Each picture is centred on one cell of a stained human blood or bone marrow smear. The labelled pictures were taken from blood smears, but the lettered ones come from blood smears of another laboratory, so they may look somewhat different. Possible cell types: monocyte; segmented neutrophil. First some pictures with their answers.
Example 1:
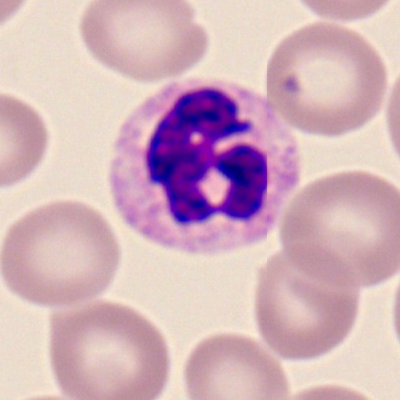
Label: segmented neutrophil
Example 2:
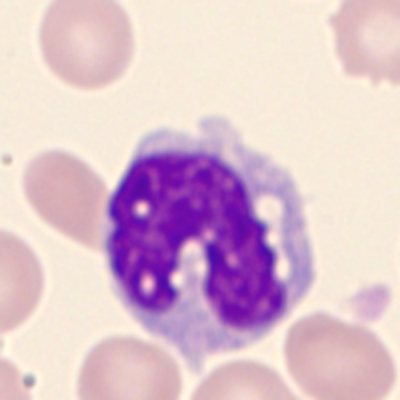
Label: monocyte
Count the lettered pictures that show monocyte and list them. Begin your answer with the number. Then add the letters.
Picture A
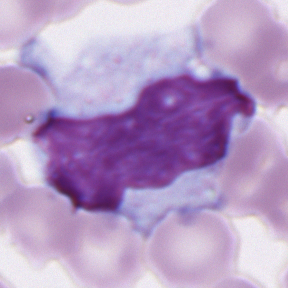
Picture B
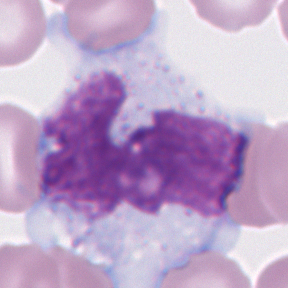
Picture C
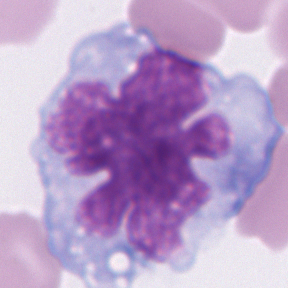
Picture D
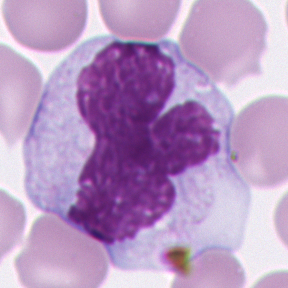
4, namely A, B, C, D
